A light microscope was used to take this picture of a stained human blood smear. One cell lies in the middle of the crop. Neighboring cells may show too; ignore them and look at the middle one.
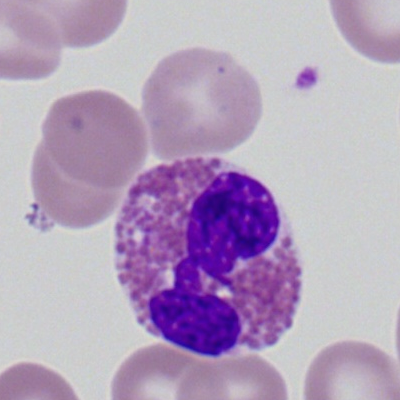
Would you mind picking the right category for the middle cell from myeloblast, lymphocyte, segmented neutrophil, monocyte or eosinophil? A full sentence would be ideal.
In the center of this field lies an eosinophil.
